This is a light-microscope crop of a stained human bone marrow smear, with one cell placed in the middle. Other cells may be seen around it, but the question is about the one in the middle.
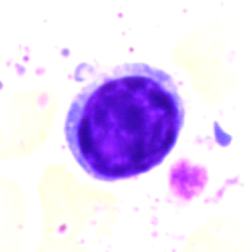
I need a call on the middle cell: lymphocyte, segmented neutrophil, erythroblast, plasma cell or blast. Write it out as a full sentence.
In short, the cell at the center is a lymphocyte.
